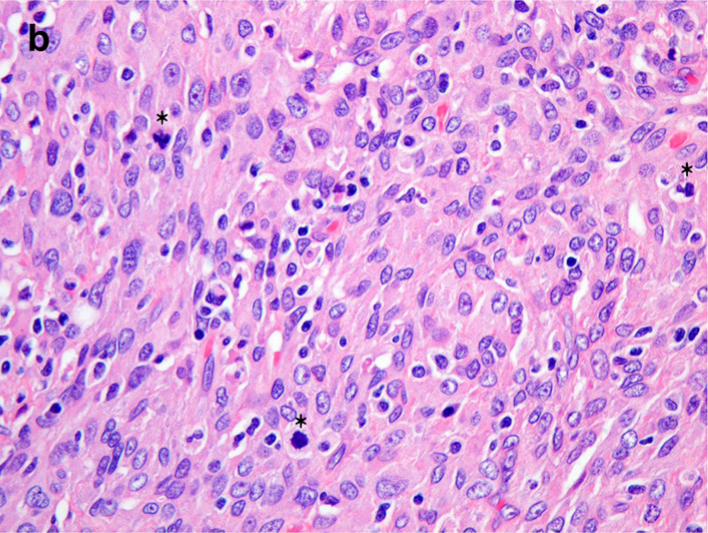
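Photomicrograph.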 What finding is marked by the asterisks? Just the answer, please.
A: Mitoses.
